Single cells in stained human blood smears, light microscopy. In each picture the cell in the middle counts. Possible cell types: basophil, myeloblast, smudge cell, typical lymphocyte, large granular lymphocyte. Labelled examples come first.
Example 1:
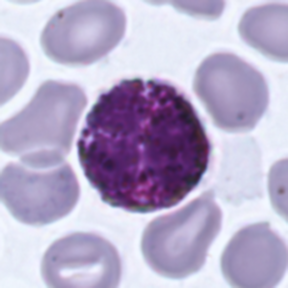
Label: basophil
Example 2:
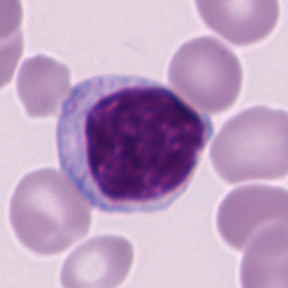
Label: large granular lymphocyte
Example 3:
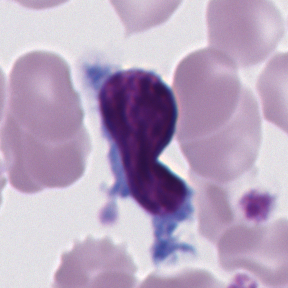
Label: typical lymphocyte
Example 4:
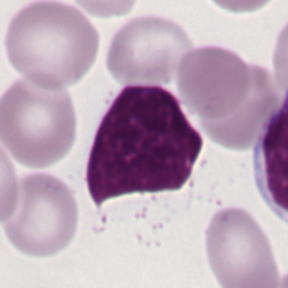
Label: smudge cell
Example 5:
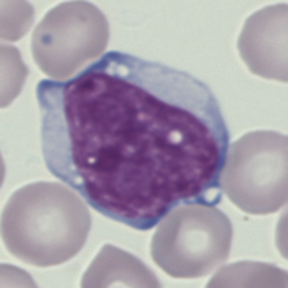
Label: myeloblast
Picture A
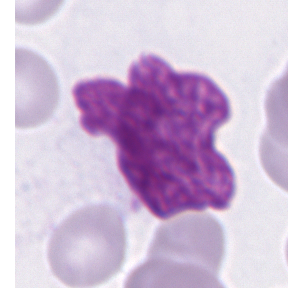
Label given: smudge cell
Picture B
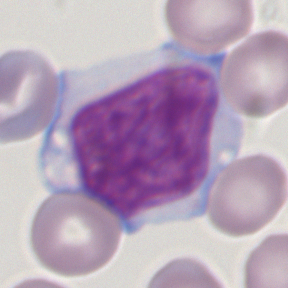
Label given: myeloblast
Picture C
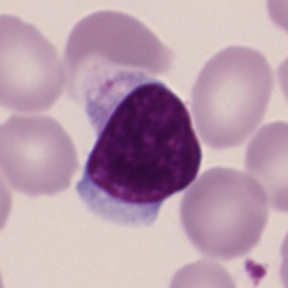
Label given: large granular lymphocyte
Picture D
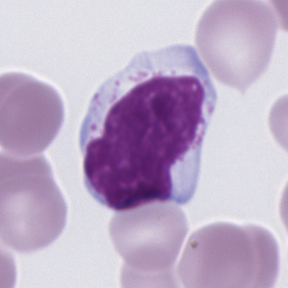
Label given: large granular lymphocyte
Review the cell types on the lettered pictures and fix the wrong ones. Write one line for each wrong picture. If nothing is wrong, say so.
C should be typical lymphocyte, not large granular lymphocyte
